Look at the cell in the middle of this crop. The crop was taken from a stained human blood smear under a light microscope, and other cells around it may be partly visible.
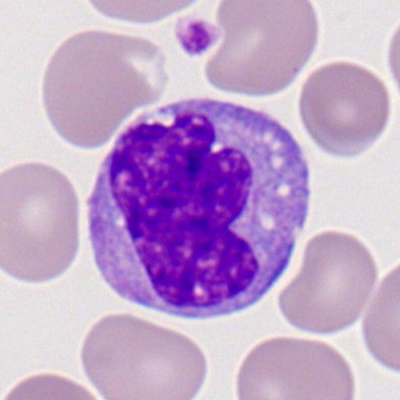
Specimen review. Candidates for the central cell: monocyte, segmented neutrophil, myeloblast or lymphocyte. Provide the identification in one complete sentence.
The central element of this crop is a cell, namely a monocyte.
